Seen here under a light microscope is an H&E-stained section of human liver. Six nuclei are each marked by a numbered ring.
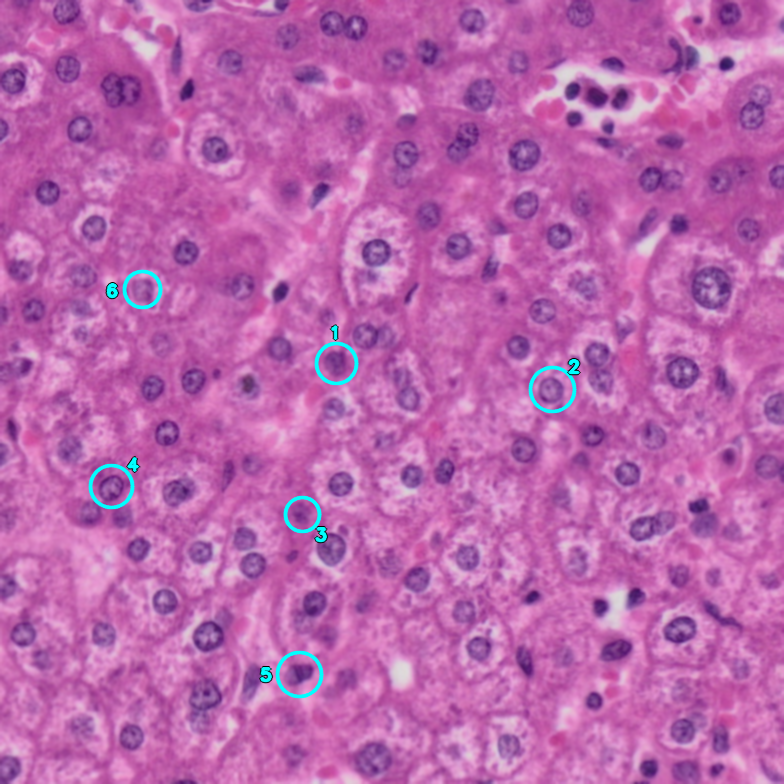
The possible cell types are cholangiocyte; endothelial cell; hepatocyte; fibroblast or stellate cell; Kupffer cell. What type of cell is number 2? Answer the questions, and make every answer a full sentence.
The cell carrying label 2 is identified as a hepatocyte.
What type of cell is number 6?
The cell numbered 6 has been identified as a hepatocyte.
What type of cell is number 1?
Marked with the number 1, this cell is an endothelial cell.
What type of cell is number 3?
The cell bearing label 3 corresponds to a hepatocyte.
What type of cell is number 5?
The cell that carries the label 5 is an endothelial cell.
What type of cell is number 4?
Here the cell numbered 4 is a hepatocyte.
